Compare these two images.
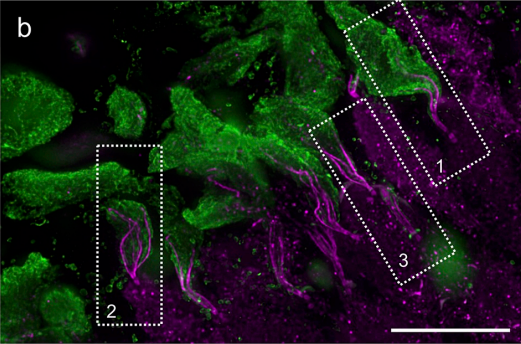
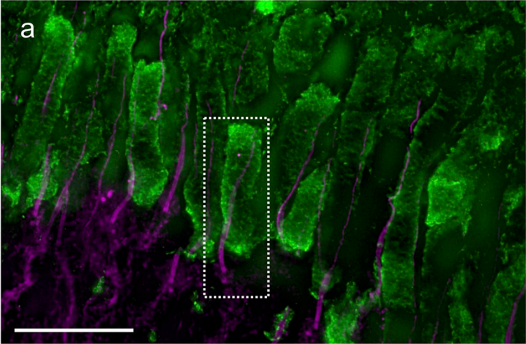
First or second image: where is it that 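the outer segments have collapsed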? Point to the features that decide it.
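First image: green masses are crumpled, tilted and disordered.
Answer: the first image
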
